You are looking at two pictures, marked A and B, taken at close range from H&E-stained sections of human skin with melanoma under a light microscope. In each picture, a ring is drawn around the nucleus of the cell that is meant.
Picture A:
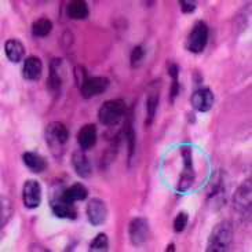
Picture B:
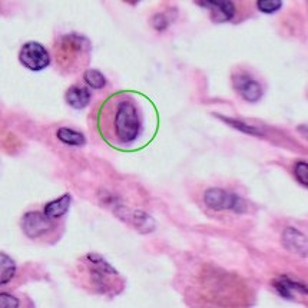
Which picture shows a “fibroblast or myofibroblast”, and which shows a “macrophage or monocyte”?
A: fibroblast or myofibroblast
B: macrophage or monocyte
